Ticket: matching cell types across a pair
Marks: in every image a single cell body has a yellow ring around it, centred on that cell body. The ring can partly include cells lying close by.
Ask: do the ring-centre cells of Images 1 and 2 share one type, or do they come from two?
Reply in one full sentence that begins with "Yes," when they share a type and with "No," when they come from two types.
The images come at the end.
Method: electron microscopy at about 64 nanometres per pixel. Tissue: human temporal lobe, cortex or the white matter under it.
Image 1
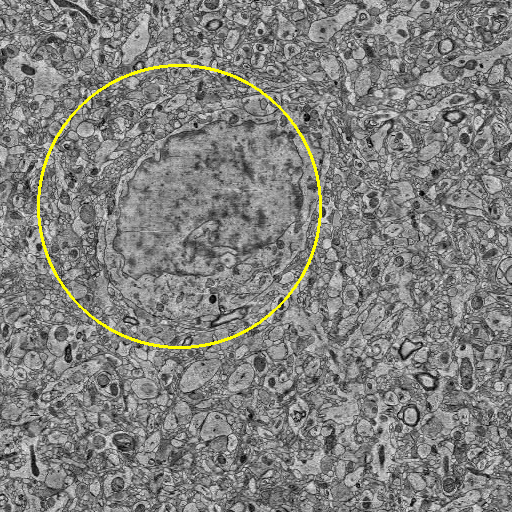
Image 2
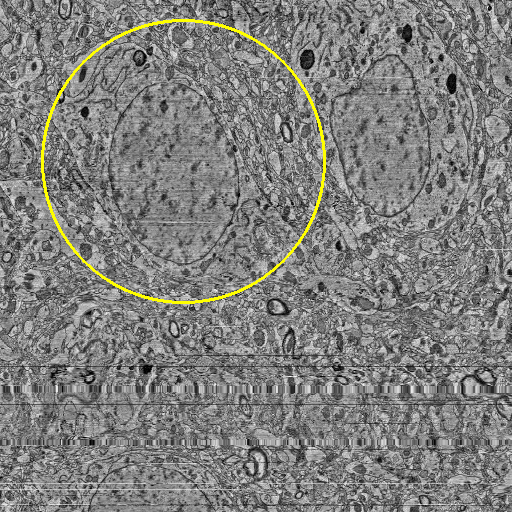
No, the cells in the centres of the rings in Image 1 and Image 2 come from two types.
